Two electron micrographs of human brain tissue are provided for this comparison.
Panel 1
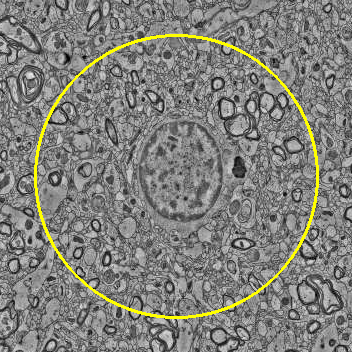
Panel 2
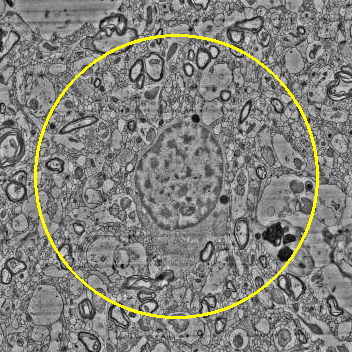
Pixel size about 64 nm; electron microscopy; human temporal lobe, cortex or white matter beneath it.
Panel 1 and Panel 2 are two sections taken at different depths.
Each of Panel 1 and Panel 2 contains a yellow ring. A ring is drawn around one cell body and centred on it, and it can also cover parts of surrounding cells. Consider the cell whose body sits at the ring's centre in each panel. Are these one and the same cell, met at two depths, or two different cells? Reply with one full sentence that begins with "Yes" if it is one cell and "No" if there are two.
No, the two rings refer to two distinct cells.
